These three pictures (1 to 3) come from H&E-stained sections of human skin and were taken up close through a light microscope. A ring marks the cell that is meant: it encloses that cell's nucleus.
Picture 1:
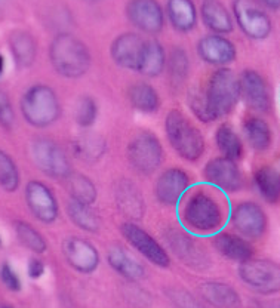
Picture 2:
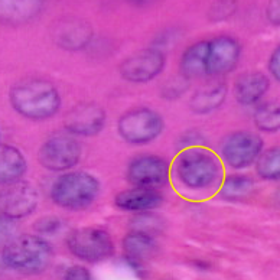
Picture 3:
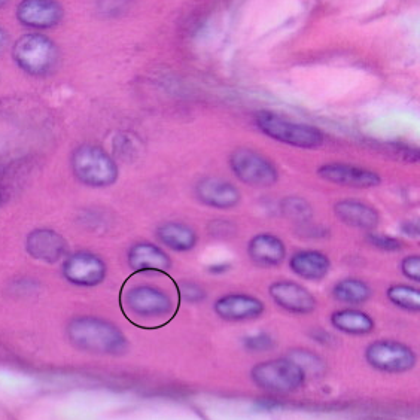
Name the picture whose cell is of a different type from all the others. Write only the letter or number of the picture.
3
